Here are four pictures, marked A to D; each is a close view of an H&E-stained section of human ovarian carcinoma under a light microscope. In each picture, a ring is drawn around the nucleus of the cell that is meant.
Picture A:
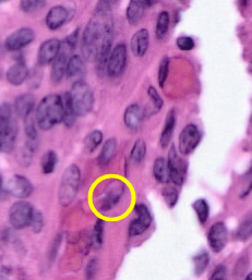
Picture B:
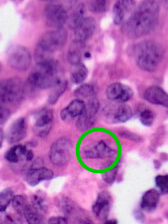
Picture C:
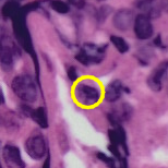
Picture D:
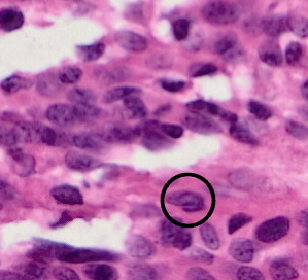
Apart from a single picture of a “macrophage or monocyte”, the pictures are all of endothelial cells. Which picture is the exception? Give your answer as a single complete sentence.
The picture with the “macrophage or monocyte” is C.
